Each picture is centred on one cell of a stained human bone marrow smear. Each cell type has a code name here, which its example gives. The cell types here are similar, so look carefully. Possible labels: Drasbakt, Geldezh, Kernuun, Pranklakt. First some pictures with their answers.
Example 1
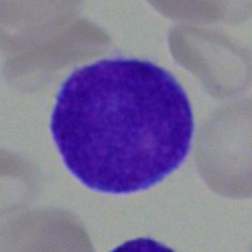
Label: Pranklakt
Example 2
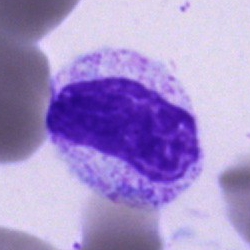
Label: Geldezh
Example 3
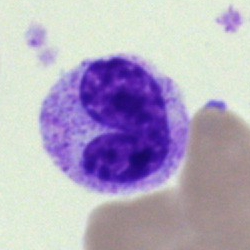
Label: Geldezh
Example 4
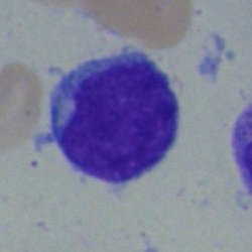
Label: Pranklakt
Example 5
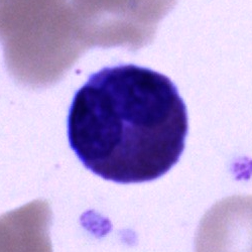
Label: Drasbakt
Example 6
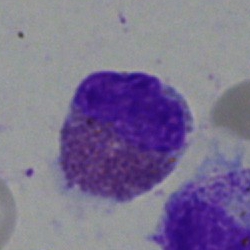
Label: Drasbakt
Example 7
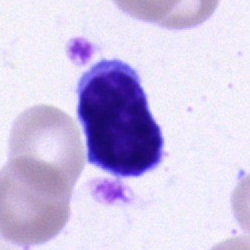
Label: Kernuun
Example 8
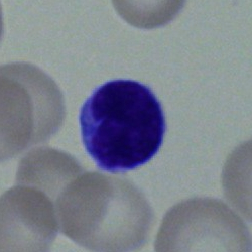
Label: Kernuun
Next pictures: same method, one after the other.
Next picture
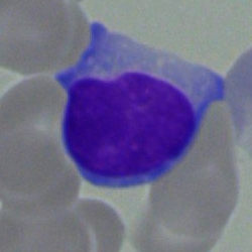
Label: Kernuun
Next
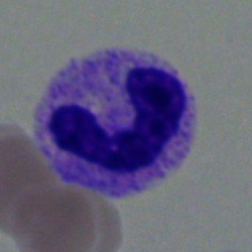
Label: Geldezh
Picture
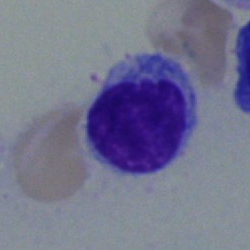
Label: Kernuun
